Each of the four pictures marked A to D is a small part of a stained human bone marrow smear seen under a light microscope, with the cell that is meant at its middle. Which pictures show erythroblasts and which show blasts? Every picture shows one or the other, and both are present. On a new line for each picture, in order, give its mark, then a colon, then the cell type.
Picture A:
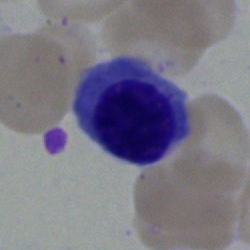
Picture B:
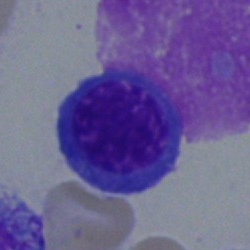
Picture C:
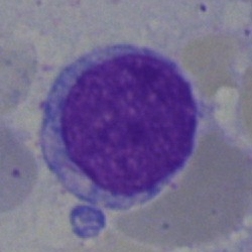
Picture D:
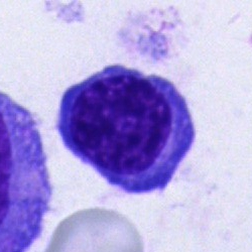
A: erythroblast
B: erythroblast
C: blast
D: erythroblast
